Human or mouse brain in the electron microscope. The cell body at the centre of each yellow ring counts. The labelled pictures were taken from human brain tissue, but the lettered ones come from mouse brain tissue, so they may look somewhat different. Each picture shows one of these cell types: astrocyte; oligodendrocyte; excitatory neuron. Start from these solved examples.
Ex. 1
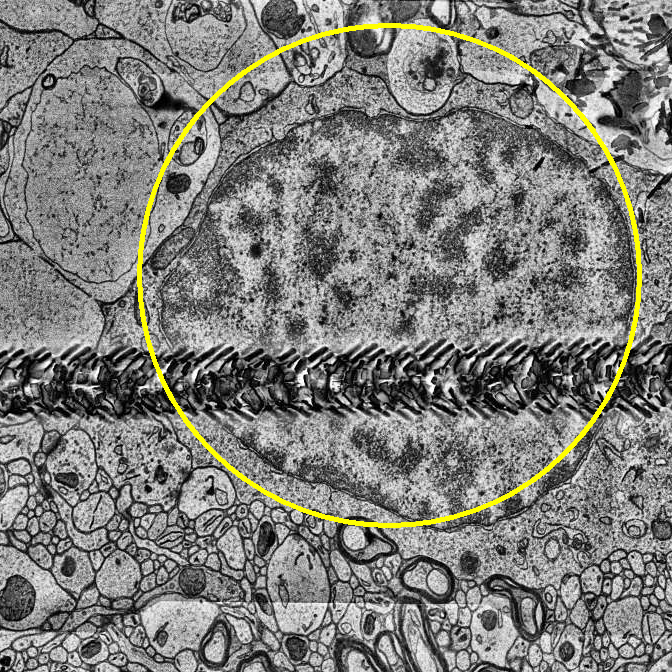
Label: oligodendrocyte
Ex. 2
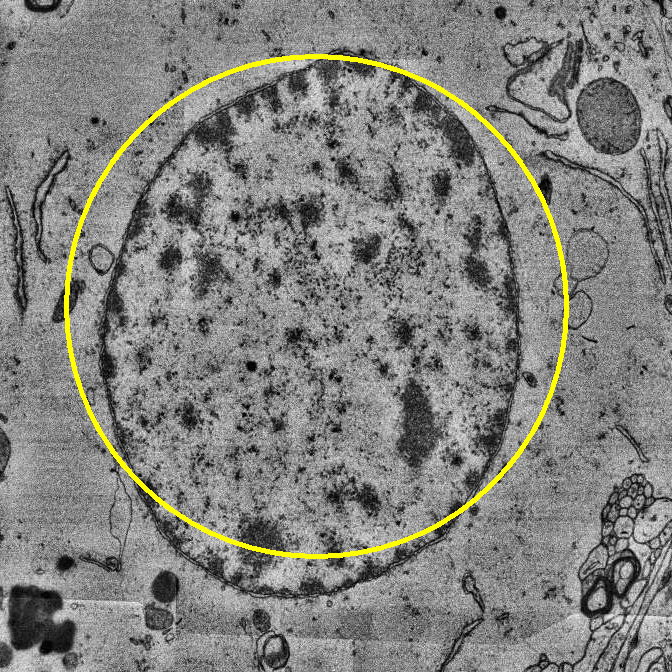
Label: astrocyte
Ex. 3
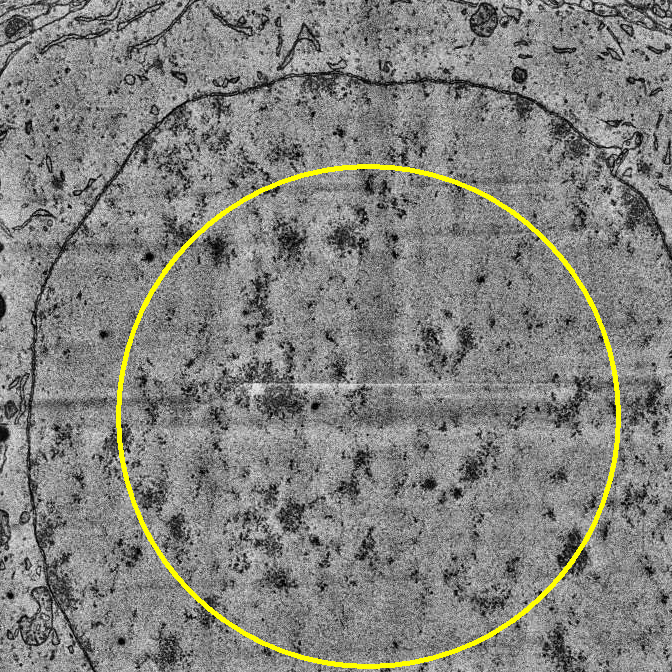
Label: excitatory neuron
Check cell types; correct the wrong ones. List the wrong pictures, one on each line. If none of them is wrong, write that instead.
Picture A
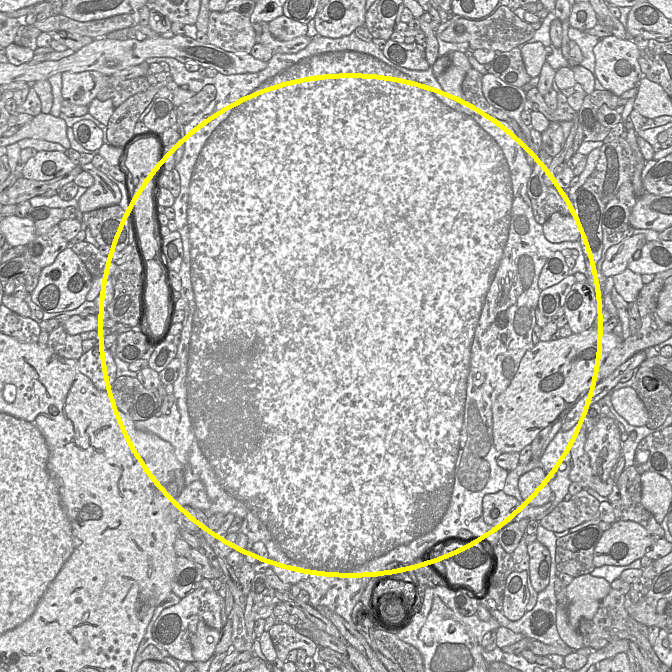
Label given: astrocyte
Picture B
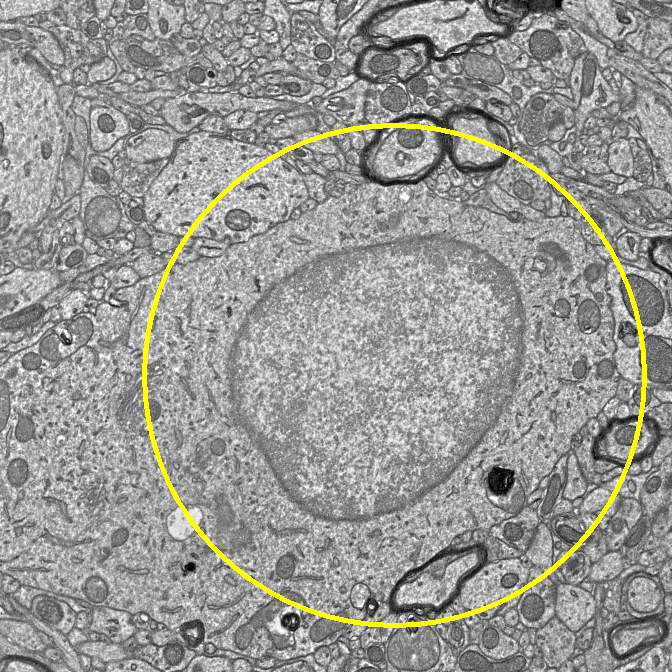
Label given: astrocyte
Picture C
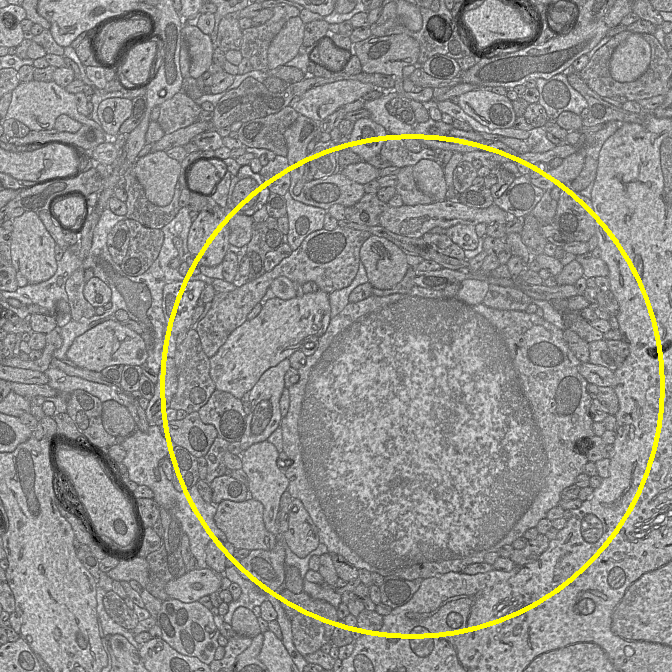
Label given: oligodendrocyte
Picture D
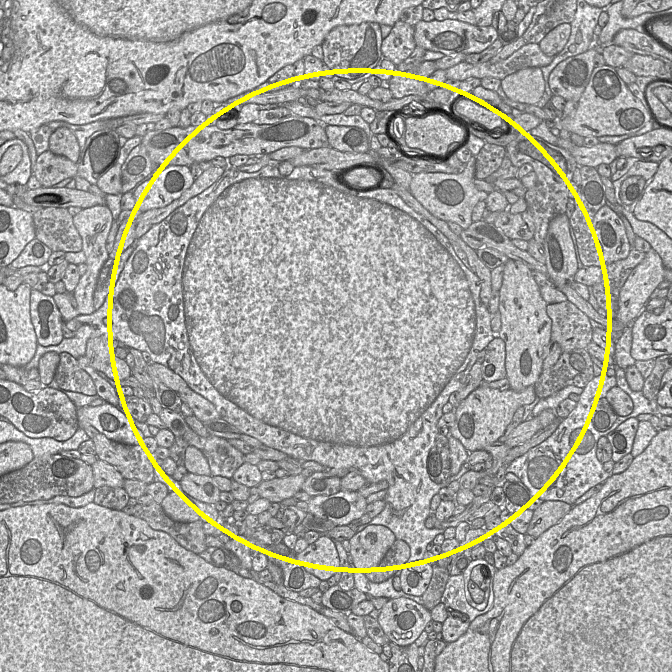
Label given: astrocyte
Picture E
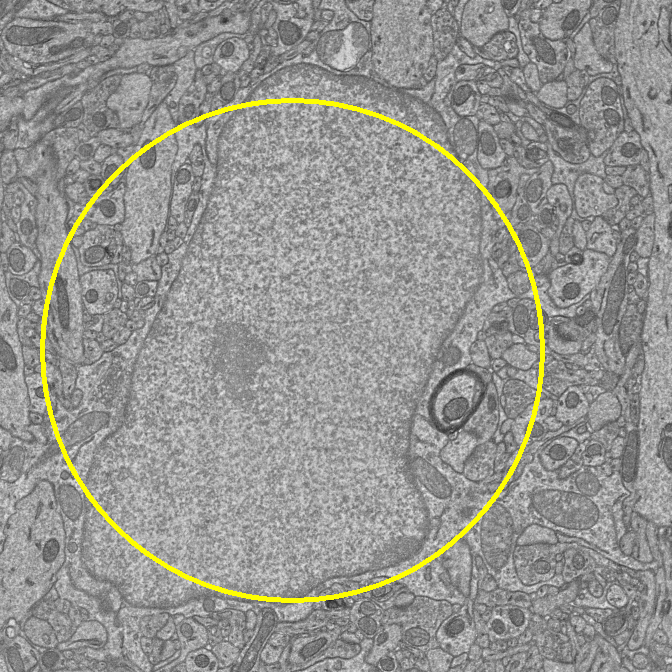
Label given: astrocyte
B: change astrocyte to oligodendrocyte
